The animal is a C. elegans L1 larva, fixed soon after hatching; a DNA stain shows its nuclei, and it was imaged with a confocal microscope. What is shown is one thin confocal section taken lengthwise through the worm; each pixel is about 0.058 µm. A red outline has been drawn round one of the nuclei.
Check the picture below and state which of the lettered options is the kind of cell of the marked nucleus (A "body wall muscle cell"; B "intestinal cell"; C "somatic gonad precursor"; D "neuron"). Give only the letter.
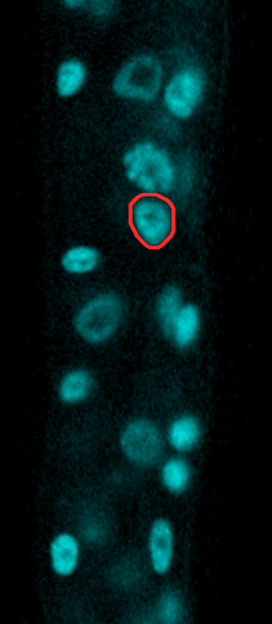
C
